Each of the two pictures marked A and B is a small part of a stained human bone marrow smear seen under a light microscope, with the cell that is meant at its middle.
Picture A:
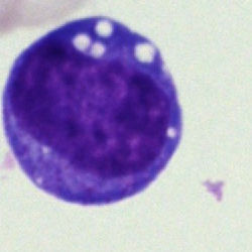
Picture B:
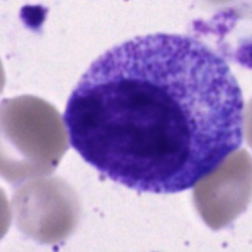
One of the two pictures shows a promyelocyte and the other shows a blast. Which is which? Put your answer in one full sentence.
Picture A is of a blast, and picture B is of a promyelocyte.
